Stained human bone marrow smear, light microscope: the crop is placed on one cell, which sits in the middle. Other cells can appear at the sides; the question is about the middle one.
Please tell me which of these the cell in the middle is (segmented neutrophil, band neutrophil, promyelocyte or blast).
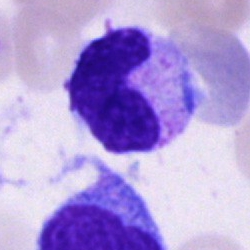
band neutrophil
